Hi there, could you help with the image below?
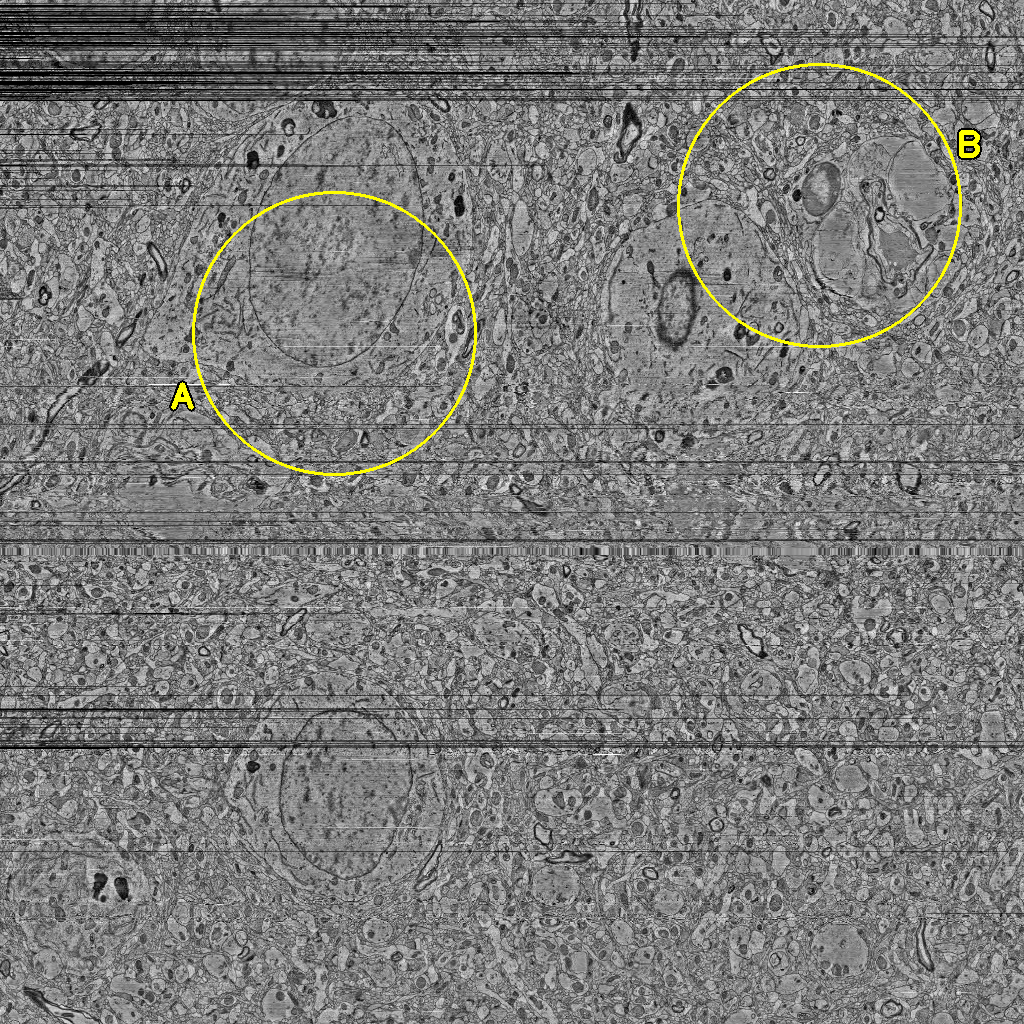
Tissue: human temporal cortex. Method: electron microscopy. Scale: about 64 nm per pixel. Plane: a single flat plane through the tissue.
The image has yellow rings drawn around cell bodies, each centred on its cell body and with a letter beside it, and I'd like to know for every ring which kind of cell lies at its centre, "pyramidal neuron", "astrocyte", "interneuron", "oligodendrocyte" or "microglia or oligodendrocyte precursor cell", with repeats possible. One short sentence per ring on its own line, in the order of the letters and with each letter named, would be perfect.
Ring A is placed around a pyramidal neuron.
Ring B is placed around a microglial cell or oligodendrocyte precursor cell.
